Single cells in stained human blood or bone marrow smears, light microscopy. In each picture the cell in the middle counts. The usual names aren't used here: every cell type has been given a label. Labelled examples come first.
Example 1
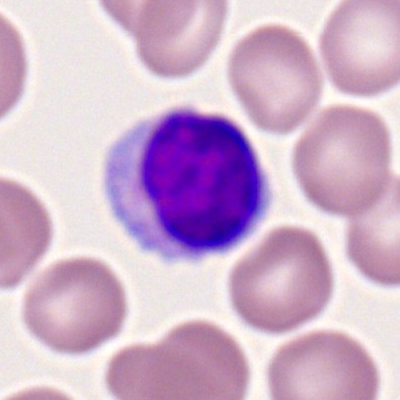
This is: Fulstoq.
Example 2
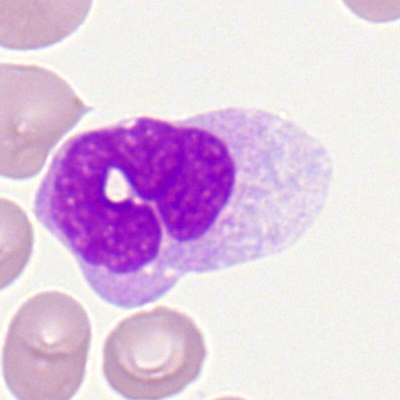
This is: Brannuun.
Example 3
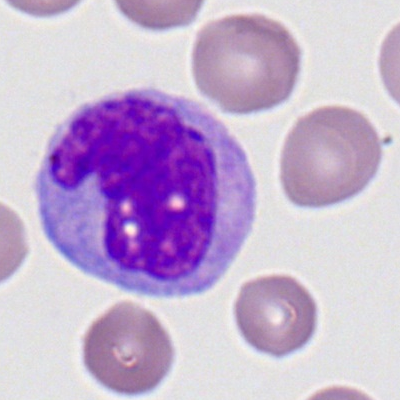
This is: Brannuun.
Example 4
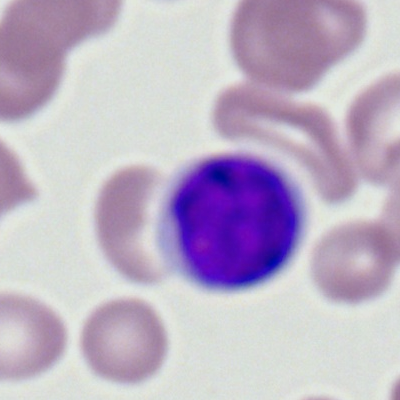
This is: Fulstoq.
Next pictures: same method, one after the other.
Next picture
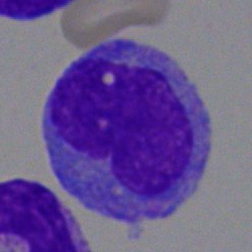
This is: Brannuun.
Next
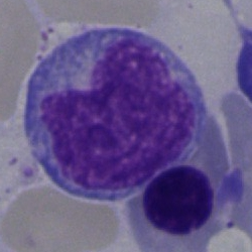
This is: Brannuun.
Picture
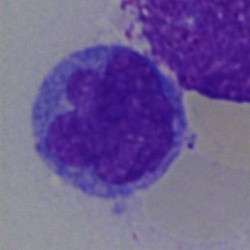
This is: Brannuun.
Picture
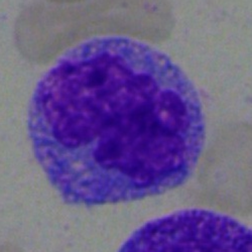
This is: Brannuun.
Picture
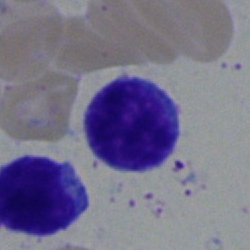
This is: Fulstoq.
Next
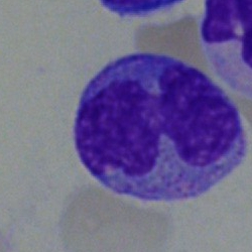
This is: Brannuun.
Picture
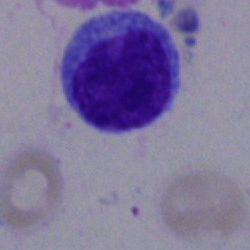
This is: Fulstoq.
